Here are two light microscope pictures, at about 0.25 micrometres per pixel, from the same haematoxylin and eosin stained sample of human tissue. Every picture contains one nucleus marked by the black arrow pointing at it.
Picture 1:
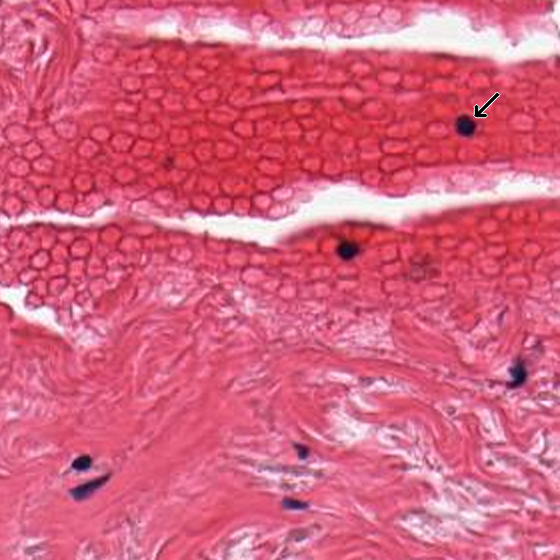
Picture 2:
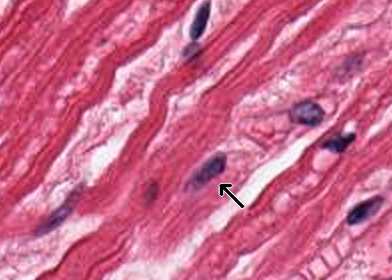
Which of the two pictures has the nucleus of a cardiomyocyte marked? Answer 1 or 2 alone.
2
